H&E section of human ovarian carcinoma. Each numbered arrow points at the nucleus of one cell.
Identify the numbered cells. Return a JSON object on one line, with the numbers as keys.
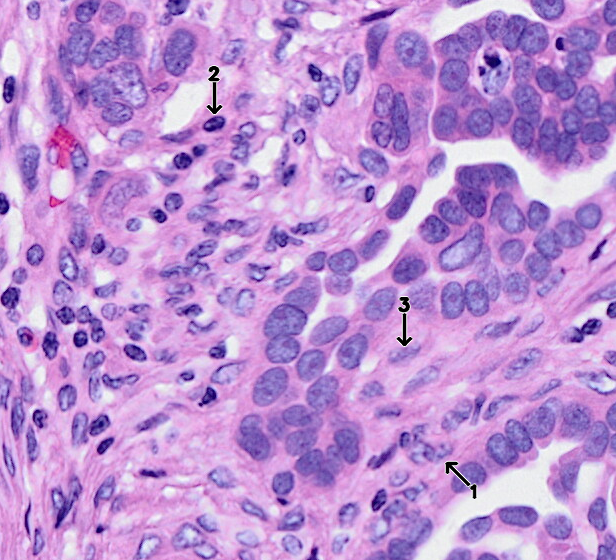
{"1": "fibroblast", "2": "lymphocyte", "3": "fibroblast"}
